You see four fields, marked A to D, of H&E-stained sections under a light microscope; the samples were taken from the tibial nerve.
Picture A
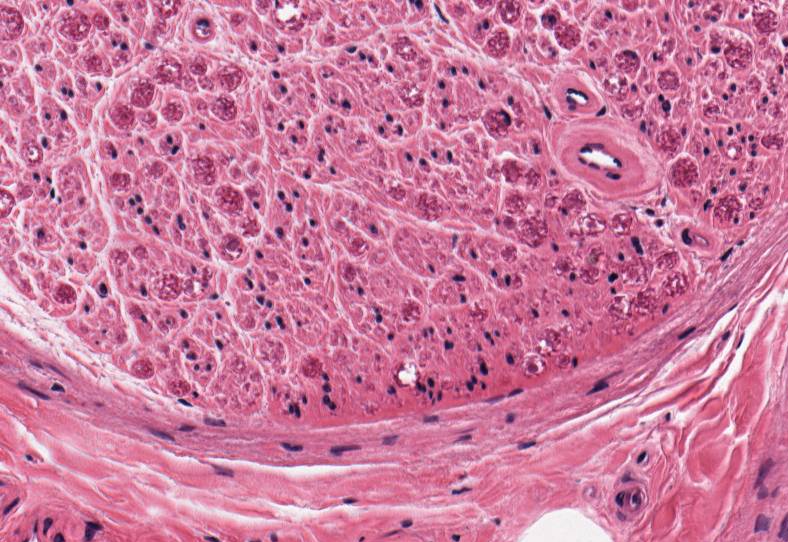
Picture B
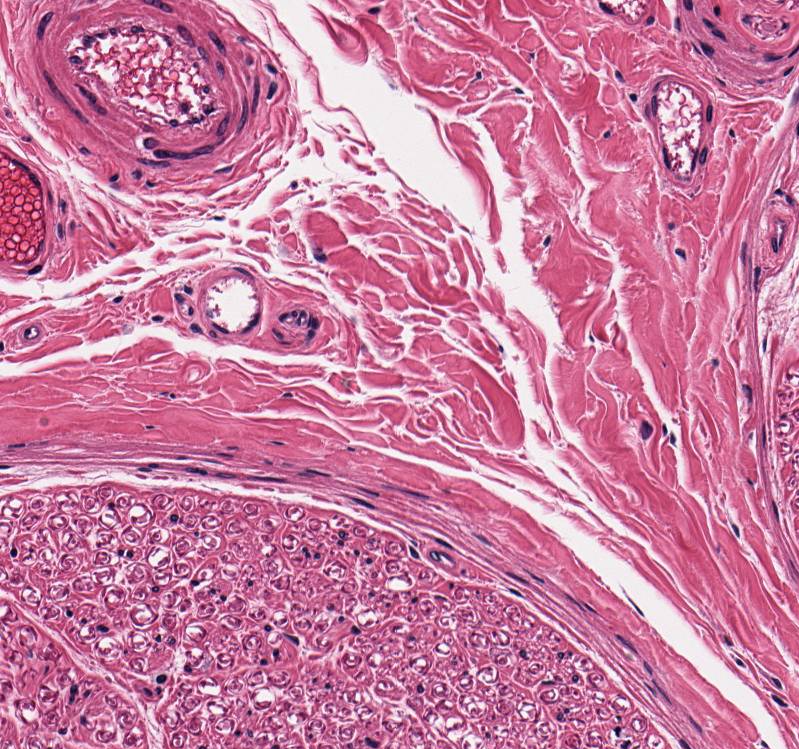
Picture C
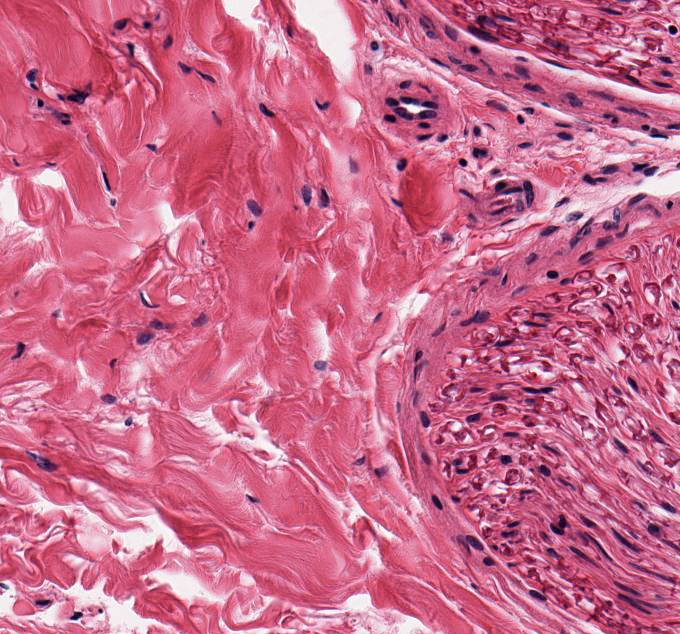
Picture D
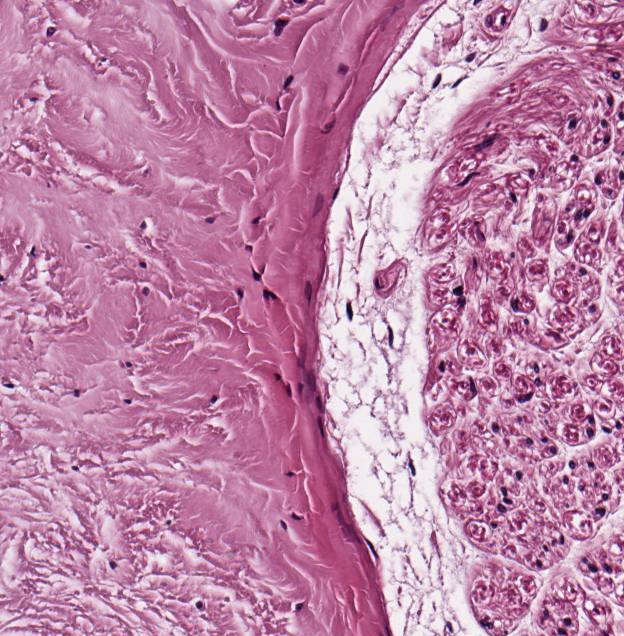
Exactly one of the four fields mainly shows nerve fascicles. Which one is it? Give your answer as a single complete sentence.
Picture A mainly shows nerve fascicles.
